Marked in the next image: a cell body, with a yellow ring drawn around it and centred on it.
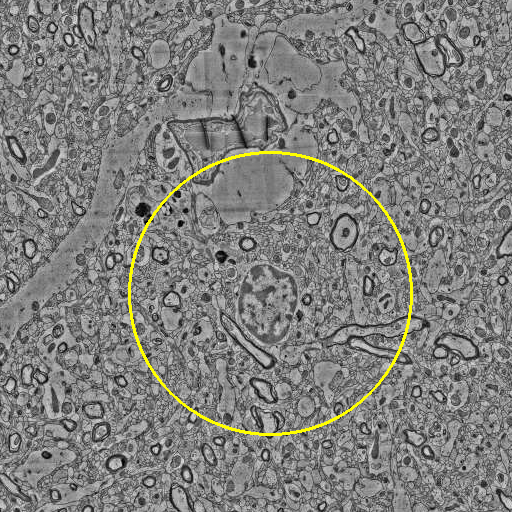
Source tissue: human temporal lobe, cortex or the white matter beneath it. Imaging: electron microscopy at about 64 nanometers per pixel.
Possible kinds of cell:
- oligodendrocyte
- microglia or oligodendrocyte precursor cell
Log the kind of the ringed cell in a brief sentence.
The ringed cell body is that of a microglial cell or oligodendrocyte precursor cell.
